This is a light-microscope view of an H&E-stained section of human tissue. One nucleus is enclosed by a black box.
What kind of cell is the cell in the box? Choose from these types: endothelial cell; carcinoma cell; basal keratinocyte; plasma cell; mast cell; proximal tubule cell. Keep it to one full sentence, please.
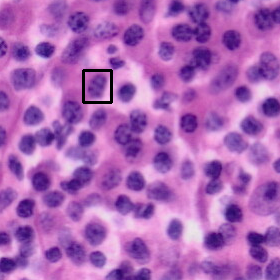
The category to which the cell in the box belongs is that of a plasma cell.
